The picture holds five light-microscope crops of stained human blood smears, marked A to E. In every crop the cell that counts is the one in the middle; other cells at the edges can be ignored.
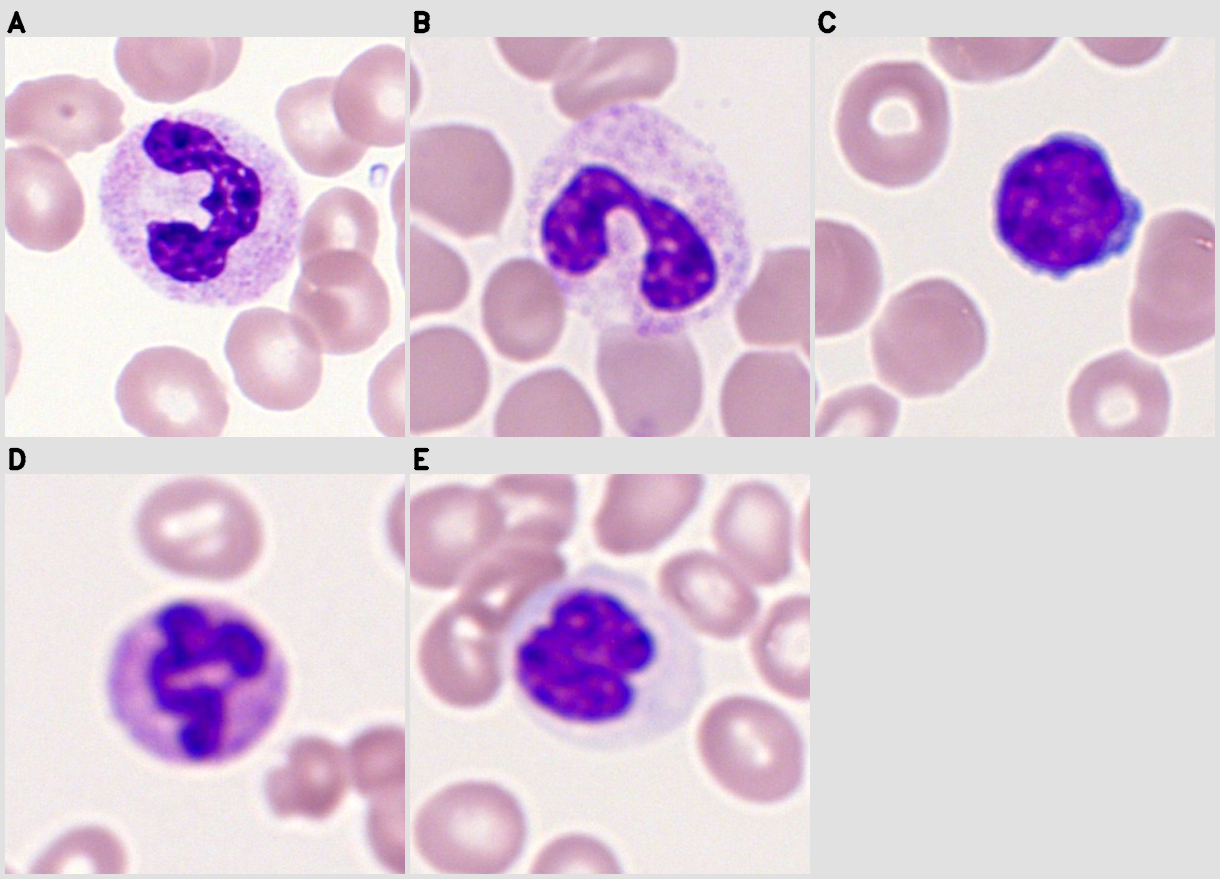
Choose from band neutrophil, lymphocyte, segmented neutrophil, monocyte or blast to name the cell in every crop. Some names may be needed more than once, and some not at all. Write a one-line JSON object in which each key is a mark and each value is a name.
{"A": "segmented neutrophil", "B": "band neutrophil", "C": "lymphocyte", "D": "segmented neutrophil", "E": "segmented neutrophil"}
